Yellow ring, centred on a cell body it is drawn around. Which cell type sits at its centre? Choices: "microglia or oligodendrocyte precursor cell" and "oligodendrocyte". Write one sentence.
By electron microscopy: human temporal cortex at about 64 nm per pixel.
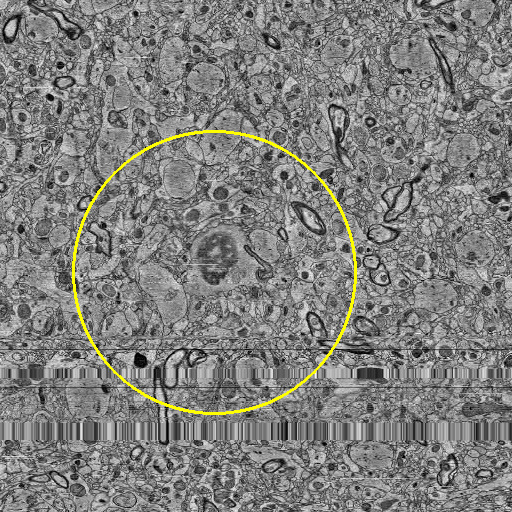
At the centre of the ring sits an oligodendrocyte.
